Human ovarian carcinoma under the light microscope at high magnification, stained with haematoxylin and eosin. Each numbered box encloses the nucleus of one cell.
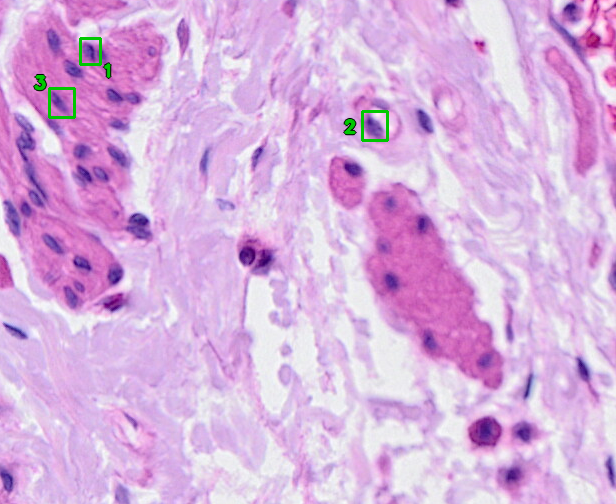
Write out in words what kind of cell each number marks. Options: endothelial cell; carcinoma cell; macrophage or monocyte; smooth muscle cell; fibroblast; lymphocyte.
Cell 1 is a smooth muscle cell, cell 2 is an endothelial cell and cell 3 is a smooth muscle cell.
